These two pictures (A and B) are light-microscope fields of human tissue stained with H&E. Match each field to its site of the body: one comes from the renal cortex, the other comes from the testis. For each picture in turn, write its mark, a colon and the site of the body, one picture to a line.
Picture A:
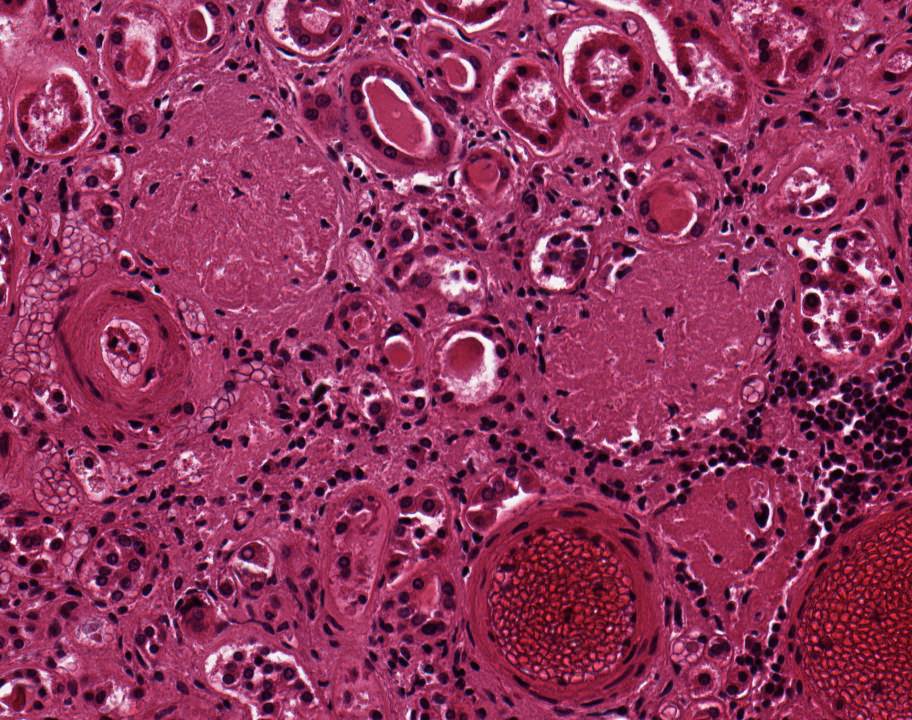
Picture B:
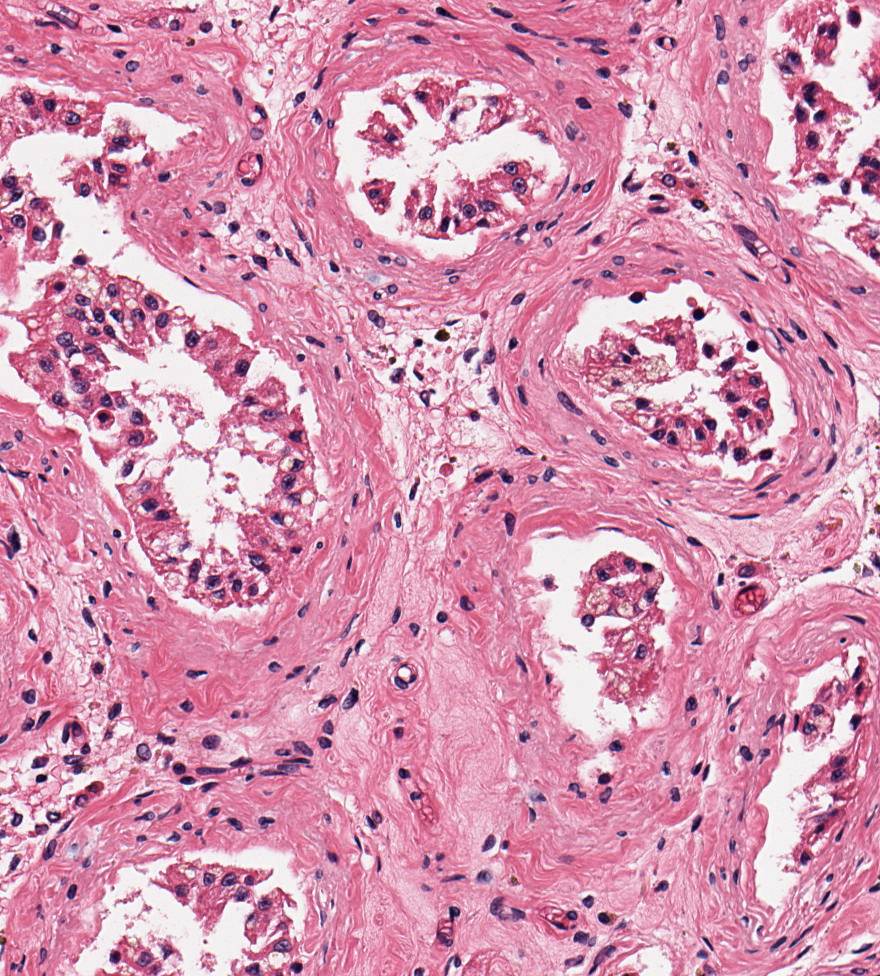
A: renal cortex
B: testis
